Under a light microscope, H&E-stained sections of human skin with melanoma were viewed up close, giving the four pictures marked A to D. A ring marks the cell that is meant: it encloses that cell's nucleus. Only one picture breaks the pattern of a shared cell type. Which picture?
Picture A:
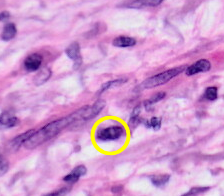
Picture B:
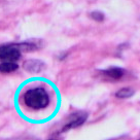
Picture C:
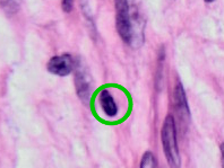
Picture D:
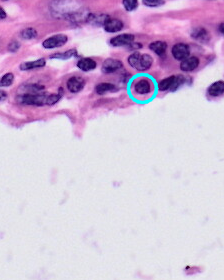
C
